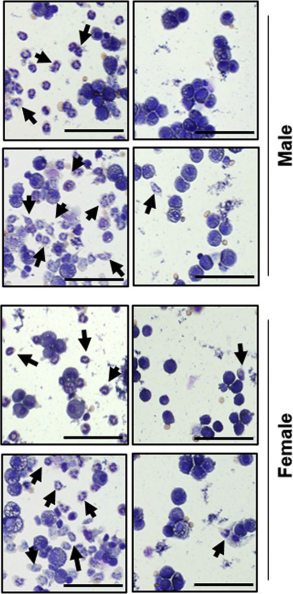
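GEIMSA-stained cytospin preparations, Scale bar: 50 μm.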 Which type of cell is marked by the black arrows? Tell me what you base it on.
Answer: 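The arrowed cells are smaller than the large round cells around them. The arrowed cells have dark purple nuclei that look segmented or irregular rather than round. The answer: neutrophils.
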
